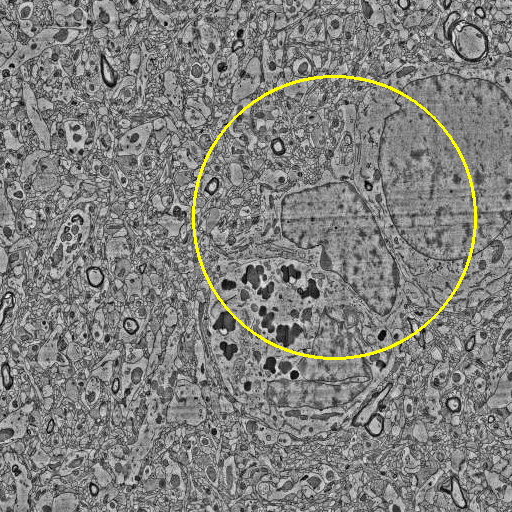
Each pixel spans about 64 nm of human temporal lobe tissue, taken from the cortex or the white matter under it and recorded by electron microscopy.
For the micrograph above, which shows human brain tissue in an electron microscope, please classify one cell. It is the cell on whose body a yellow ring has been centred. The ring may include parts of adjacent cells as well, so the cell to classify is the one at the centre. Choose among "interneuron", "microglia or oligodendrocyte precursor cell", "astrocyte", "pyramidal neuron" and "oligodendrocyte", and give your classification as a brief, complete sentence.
I classify this cell as a microglial cell or oligodendrocyte precursor cell.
